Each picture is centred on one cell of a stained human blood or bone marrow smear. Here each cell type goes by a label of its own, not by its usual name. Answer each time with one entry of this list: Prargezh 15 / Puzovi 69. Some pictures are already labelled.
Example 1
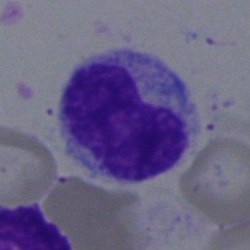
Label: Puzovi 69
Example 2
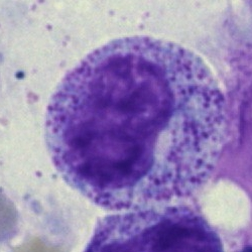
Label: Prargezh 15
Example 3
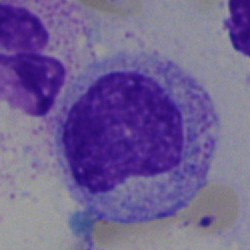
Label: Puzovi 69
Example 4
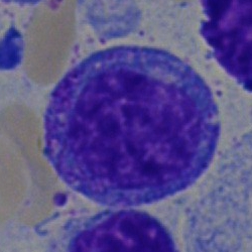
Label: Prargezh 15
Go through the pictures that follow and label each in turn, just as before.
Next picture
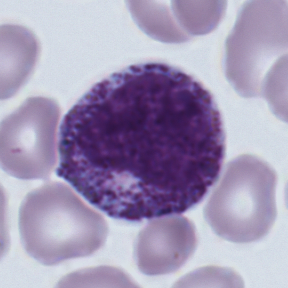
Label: Prargezh 15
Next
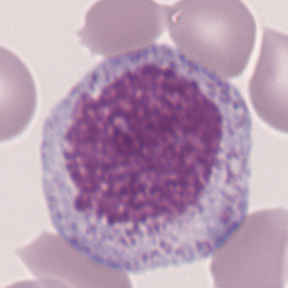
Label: Prargezh 15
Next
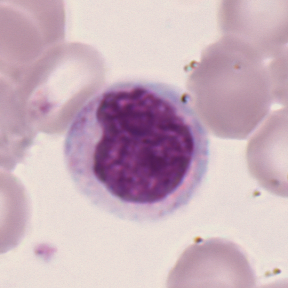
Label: Puzovi 69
